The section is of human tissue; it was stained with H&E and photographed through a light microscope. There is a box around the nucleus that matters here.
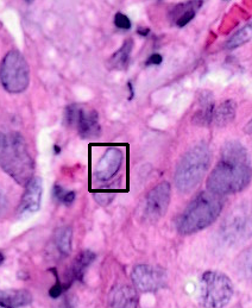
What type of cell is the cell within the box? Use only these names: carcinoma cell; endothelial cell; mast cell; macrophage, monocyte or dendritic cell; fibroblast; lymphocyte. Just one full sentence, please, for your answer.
In the tissue at hand, the cell within the box is an endothelial cell.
